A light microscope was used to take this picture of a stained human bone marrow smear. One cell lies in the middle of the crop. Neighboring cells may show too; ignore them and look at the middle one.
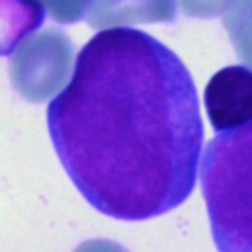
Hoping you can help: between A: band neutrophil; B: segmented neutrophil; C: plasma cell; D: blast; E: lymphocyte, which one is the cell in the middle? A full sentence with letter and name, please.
It is a blast that occupies the centre of the crop, so option D is correct.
